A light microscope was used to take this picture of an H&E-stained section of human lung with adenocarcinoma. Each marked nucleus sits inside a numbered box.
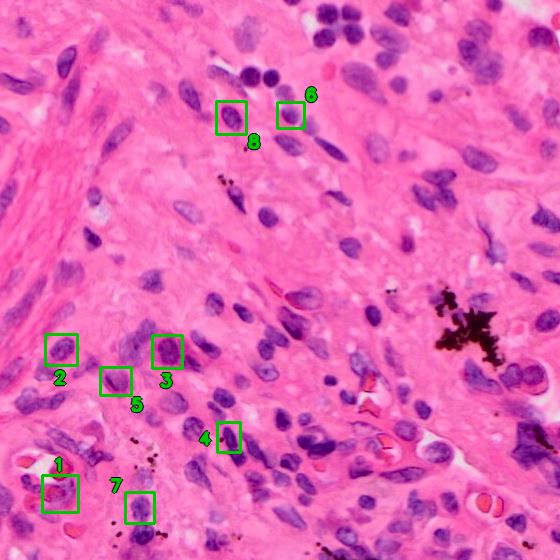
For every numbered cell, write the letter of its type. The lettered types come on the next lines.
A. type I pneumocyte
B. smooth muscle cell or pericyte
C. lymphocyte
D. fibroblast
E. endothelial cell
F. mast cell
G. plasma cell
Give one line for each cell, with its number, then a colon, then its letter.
1: E
2: F
3: G
4: C
5: G
6: C
7: C
8: F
